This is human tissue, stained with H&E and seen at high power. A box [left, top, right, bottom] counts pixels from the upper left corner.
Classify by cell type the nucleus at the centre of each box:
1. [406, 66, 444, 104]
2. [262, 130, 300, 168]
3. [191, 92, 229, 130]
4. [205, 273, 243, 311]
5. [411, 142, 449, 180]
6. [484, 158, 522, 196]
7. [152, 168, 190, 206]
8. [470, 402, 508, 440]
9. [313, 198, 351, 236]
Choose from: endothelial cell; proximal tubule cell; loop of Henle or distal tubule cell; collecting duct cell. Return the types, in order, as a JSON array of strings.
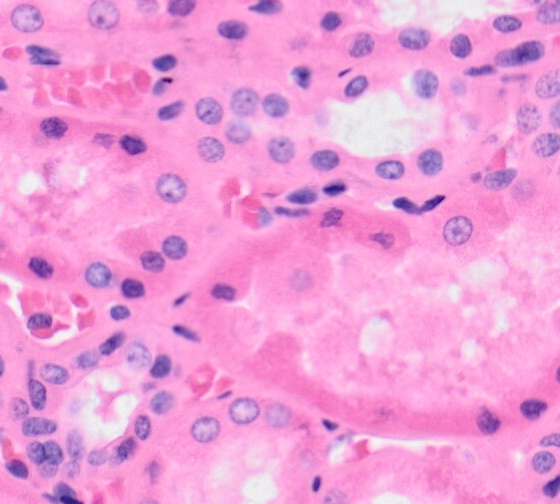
["loop of Henle or distal tubule cell", "loop of Henle or distal tubule cell", "loop of Henle or distal tubule cell", "proximal tubule cell", "loop of Henle or distal tubule cell", "endothelial cell", "proximal tubule cell", "proximal tubule cell", "proximal tubule cell"]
